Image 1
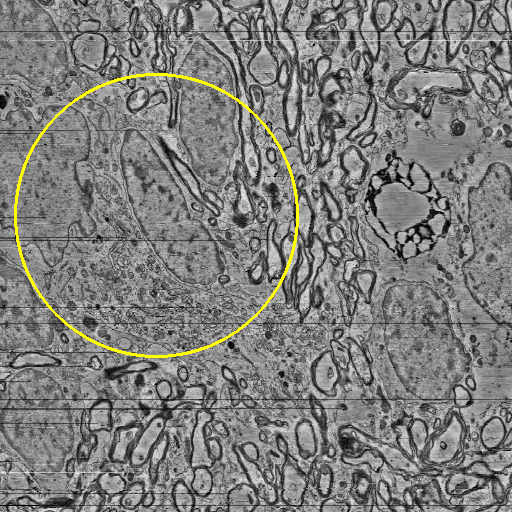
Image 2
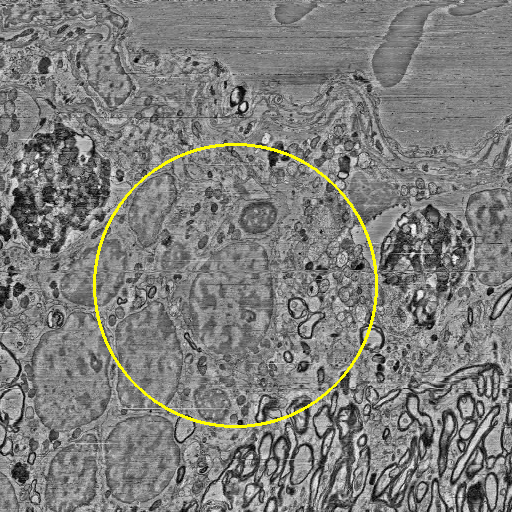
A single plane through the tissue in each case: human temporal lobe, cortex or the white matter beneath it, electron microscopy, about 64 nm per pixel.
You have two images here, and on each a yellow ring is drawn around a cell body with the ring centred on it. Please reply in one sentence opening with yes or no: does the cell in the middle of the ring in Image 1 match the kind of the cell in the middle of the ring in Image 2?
No, the two images show cells of two kinds at the centres of their rings.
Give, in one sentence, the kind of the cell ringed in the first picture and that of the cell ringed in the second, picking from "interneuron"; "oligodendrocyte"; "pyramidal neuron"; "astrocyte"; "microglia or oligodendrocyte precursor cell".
For the first picture it is a microglial cell or oligodendrocyte precursor cell; for the second, an oligodendrocyte.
